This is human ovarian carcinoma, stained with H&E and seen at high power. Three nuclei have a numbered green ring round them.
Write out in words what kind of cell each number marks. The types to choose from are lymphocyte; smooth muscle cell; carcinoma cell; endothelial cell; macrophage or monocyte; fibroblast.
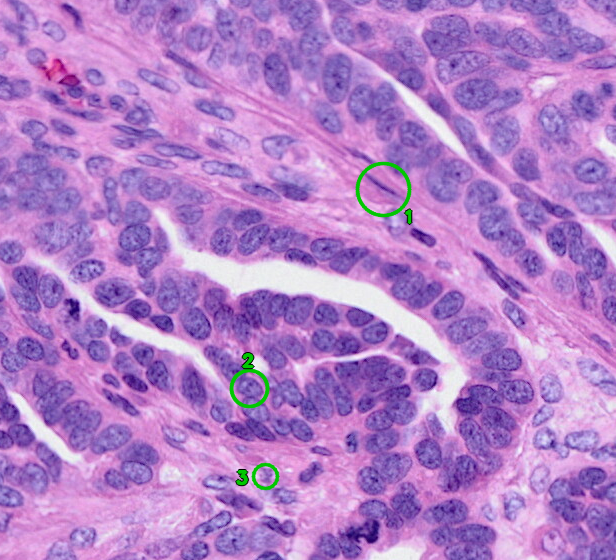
Cells 1 and 3 are fibroblasts. Cell 2 is a carcinoma cell.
